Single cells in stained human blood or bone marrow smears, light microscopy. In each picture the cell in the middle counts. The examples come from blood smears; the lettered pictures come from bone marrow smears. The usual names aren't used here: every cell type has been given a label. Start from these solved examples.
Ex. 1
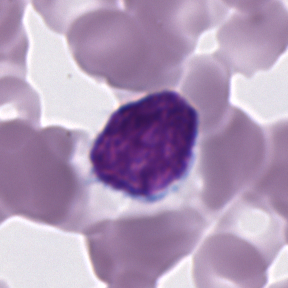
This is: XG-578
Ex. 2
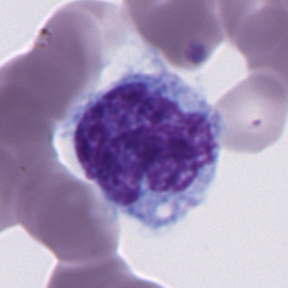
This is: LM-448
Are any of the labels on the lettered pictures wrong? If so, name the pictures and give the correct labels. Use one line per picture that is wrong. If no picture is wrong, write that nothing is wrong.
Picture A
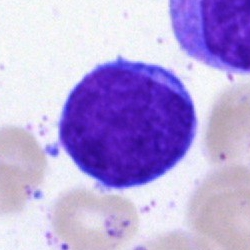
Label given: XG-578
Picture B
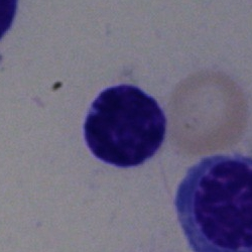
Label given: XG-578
All labels are correct.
